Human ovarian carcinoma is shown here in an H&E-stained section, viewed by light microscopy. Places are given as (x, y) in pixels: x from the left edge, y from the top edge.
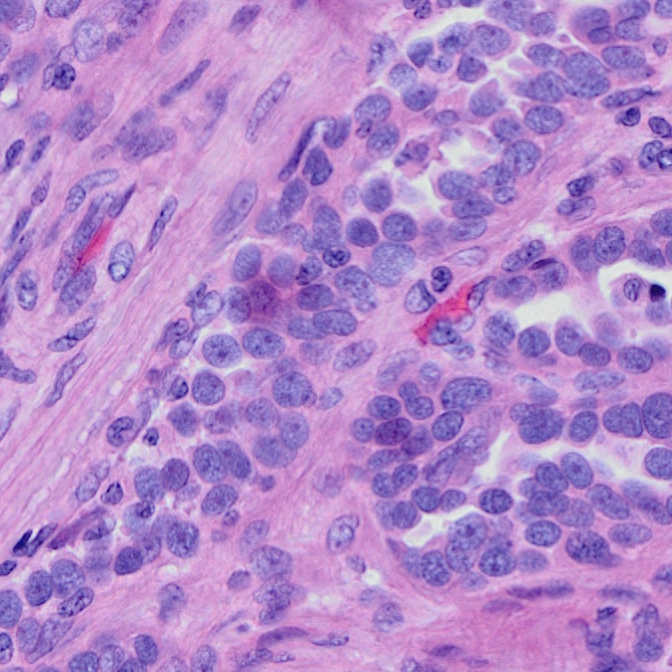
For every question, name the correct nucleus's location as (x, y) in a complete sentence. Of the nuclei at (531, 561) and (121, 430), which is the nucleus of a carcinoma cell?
Belonging to a carcinoma cell is the nucleus at (531, 561).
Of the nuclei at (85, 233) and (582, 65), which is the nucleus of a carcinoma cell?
Here the nucleus at (582, 65) is the one that belongs to a carcinoma cell.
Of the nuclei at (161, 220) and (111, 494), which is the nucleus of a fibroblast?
The nucleus of a fibroblast is the one found at (161, 220), not the other.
